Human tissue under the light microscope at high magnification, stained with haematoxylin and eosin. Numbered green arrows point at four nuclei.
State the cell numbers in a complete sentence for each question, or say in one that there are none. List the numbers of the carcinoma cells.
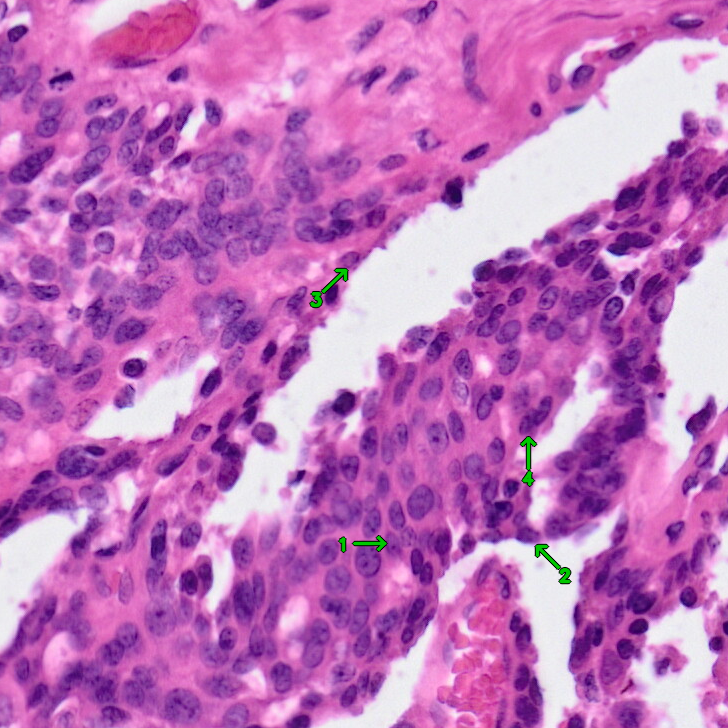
In terms of cell type, cells 1, 2 and 4 are carcinoma cells.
